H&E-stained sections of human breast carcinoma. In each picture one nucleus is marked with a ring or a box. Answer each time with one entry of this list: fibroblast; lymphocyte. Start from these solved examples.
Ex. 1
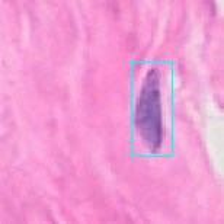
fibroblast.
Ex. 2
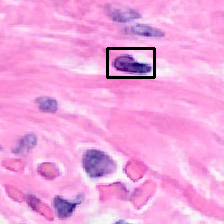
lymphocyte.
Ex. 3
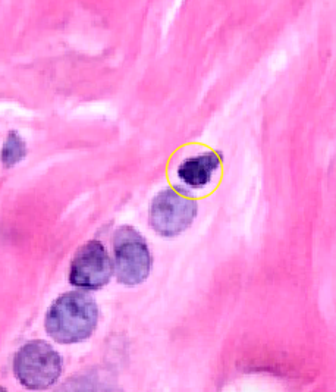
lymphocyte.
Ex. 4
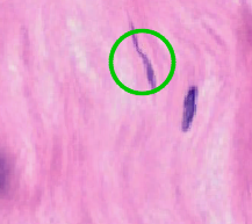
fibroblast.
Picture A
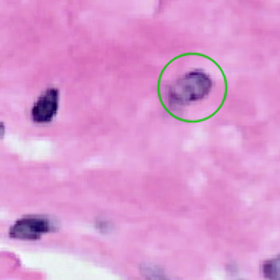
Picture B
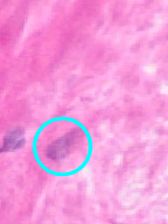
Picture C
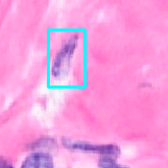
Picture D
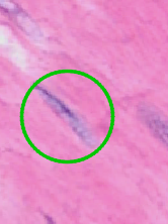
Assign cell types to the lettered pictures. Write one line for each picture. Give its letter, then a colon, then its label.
A: lymphocyte.
B: fibroblast.
C: fibroblast.
D: fibroblast.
